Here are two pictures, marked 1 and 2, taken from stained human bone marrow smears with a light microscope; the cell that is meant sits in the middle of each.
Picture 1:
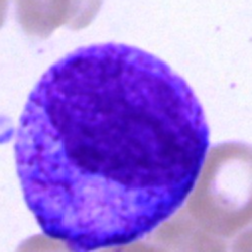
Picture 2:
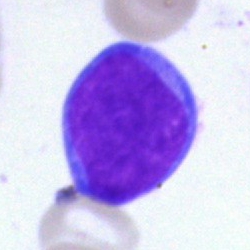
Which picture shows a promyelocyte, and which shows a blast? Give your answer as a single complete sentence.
In picture 1 the cell is a promyelocyte; in picture 2, a blast.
